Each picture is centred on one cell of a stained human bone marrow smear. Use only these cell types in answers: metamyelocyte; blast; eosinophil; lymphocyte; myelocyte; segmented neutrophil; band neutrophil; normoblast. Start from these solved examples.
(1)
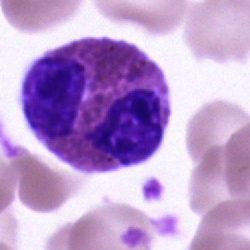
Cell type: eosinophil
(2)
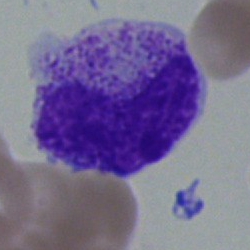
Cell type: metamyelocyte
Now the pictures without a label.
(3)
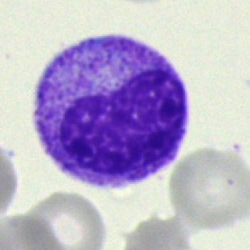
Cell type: metamyelocyte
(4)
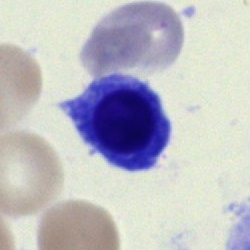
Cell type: normoblast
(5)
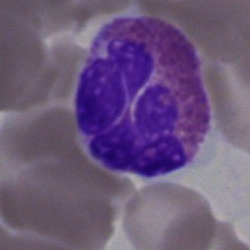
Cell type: eosinophil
